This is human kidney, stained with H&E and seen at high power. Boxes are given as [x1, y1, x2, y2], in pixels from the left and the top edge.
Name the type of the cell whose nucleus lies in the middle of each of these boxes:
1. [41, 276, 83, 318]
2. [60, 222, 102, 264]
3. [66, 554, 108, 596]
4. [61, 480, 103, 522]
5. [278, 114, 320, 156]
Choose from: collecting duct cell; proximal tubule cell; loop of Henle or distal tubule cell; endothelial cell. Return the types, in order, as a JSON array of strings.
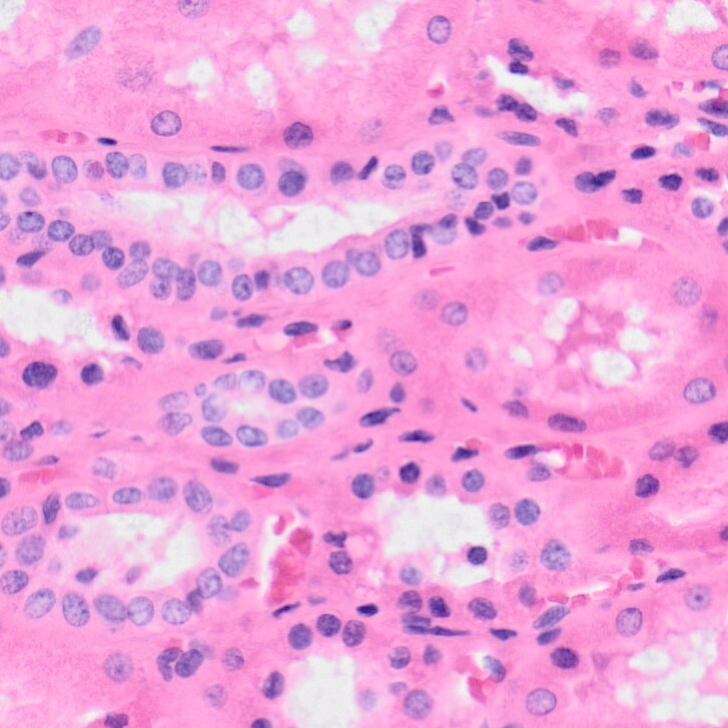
["loop of Henle or distal tubule cell", "collecting duct cell", "collecting duct cell", "collecting duct cell", "proximal tubule cell"]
